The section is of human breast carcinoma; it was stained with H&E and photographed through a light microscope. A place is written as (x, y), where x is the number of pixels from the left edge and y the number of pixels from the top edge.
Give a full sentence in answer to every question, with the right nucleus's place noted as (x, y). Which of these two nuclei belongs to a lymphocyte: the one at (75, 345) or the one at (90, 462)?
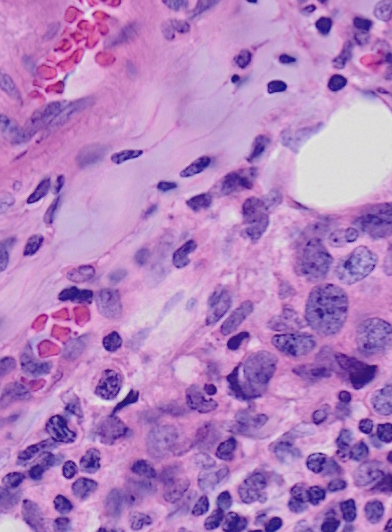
The nucleus of the pair that lies within a lymphocyte is at (90, 462).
